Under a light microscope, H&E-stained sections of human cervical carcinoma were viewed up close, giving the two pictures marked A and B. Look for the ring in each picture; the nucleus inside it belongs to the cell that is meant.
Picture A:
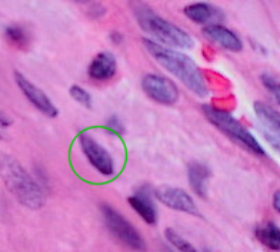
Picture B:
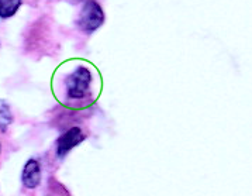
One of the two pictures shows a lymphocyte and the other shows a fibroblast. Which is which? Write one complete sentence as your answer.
The cell in picture A is a fibroblast, and the one in picture B is a lymphocyte.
